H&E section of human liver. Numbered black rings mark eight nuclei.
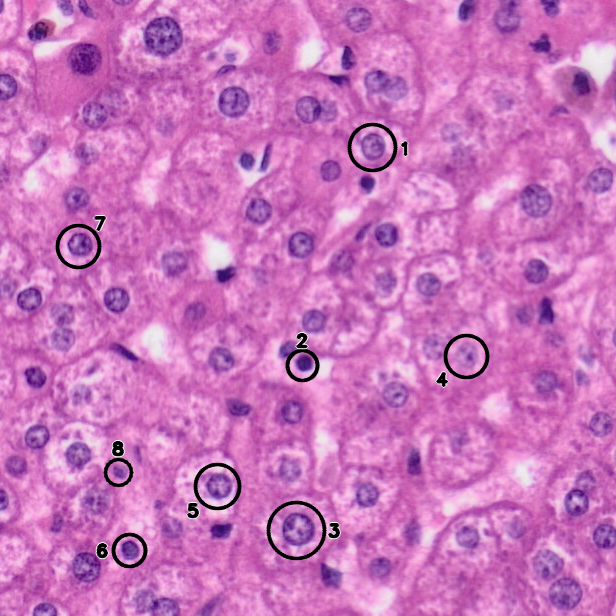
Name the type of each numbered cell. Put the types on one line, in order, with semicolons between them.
hepatocyte; lymphocyte; hepatocyte; hepatocyte; hepatocyte; lymphocyte; hepatocyte; lymphocyte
